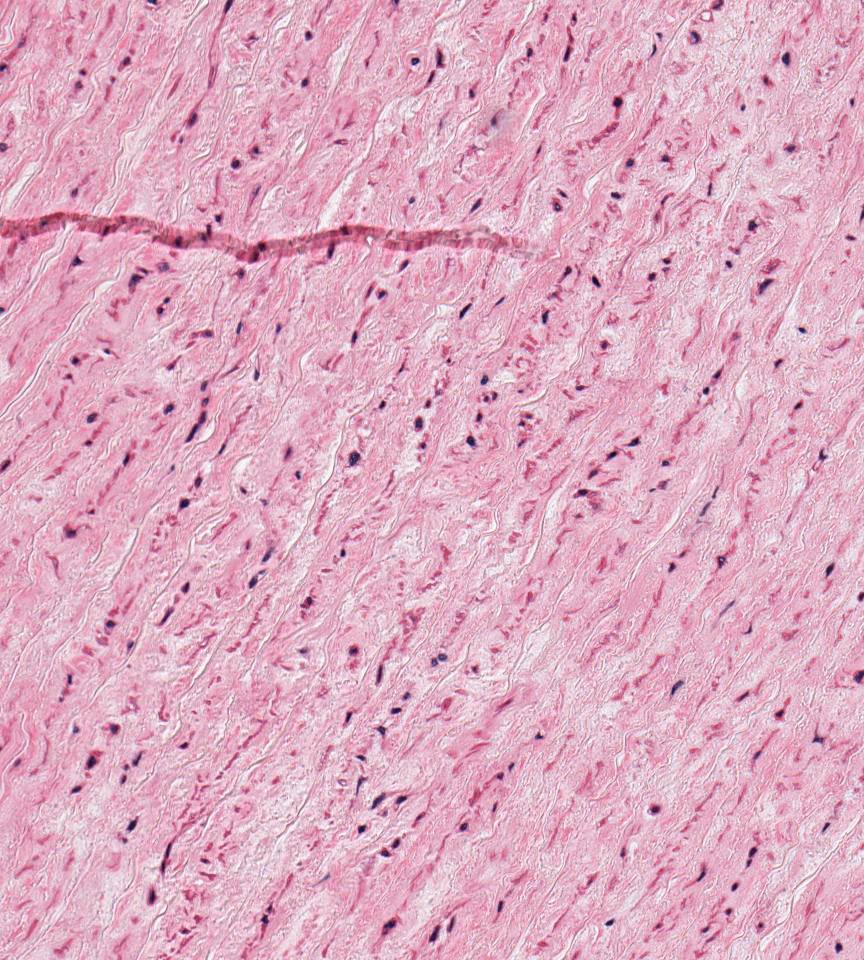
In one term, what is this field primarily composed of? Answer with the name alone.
tunica media of an artery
